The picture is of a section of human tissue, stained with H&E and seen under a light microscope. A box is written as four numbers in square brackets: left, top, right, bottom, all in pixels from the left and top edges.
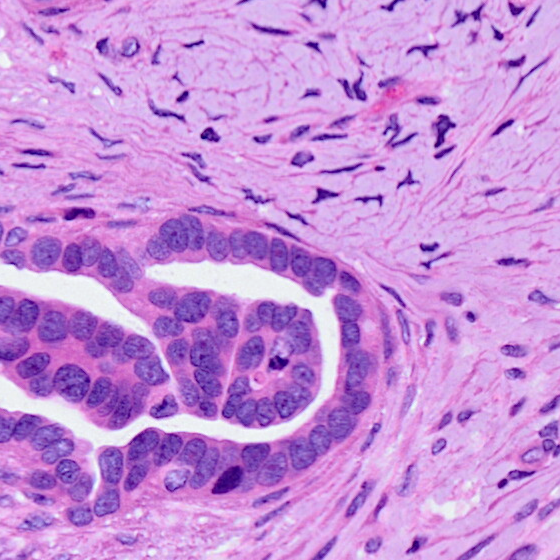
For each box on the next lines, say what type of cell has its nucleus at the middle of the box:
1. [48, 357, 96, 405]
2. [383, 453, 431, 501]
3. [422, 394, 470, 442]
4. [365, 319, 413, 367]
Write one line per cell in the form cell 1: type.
cell 1: carcinoma cell
cell 2: fibroblast
cell 3: fibroblast
cell 4: fibroblast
